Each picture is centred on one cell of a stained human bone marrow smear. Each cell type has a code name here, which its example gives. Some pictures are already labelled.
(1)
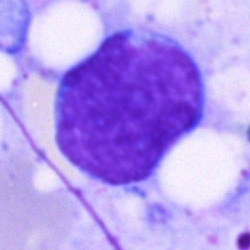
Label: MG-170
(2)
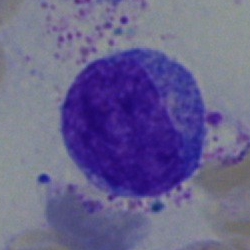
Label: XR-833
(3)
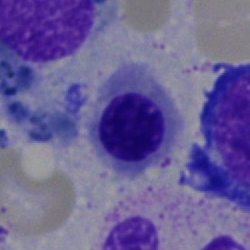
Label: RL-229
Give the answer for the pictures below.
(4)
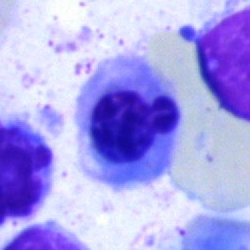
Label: RL-229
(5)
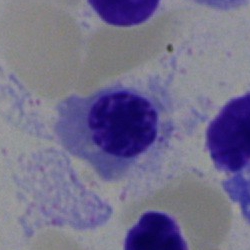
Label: RL-229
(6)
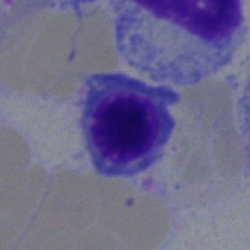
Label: RL-229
